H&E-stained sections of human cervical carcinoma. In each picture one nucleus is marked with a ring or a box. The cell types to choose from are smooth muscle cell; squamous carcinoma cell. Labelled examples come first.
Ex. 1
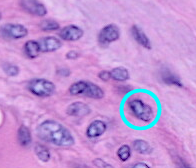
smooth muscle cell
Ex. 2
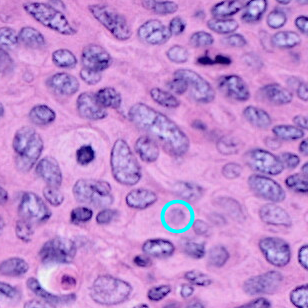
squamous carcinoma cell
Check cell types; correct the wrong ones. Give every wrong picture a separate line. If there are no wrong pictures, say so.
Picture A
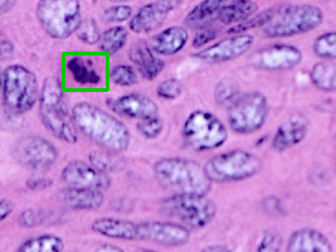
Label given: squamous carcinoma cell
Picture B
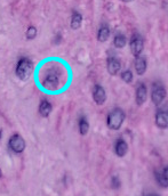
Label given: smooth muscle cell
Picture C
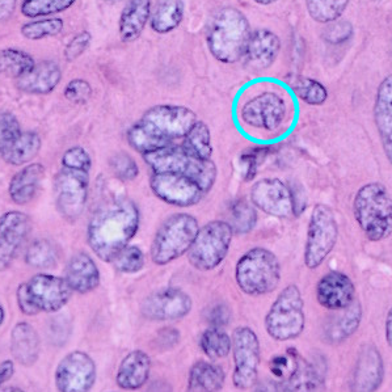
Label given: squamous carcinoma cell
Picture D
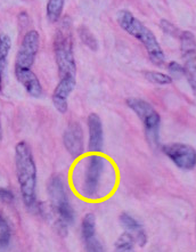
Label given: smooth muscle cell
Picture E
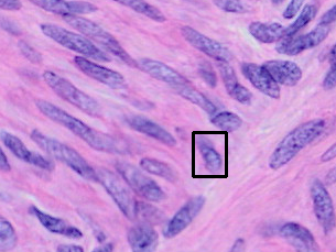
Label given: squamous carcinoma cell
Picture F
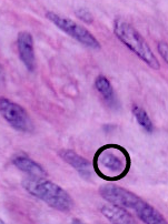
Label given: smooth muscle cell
E is labelled squamous carcinoma cell; correct label: smooth muscle cell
